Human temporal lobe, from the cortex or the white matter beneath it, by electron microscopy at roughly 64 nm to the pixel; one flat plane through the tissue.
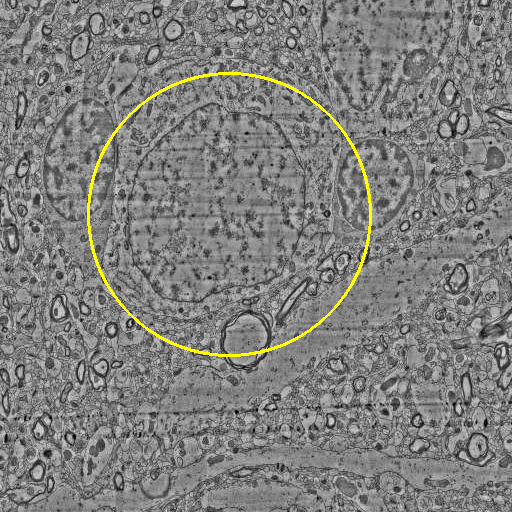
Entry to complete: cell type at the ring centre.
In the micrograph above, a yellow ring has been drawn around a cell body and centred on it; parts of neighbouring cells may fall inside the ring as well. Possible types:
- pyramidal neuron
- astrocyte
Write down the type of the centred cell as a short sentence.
The ring is centred on a pyramidal neuron.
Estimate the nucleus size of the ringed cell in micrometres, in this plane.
About 13 by 11 micrometers for the nucleus, in this plane.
